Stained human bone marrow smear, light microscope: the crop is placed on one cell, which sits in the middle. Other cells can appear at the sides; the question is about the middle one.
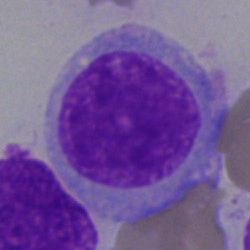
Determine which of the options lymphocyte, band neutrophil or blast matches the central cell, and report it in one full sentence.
Here the centrally located cell is a blast.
